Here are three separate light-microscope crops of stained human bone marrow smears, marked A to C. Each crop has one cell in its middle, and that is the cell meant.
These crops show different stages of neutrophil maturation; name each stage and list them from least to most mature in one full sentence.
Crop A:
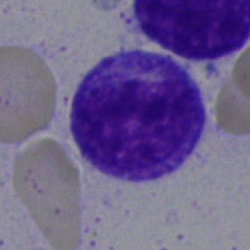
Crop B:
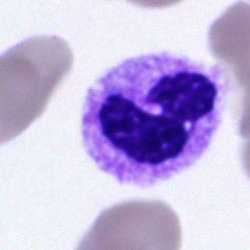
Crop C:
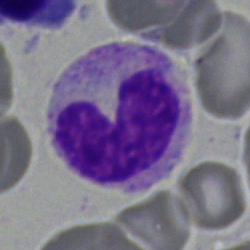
When ranked by maturity from lowest to highest, the order is crop A (a metamyelocyte), crop C (a band neutrophil) and crop B (a segmented neutrophil).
